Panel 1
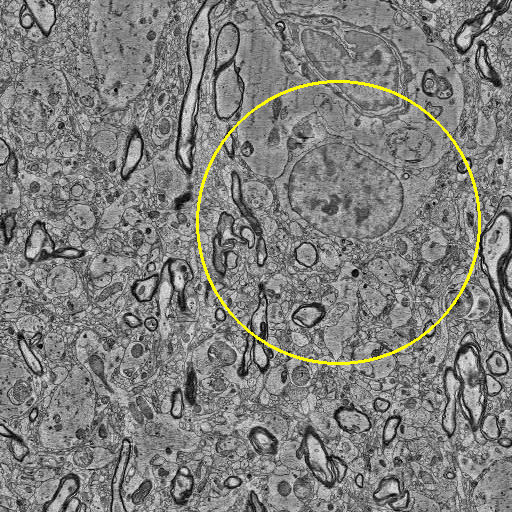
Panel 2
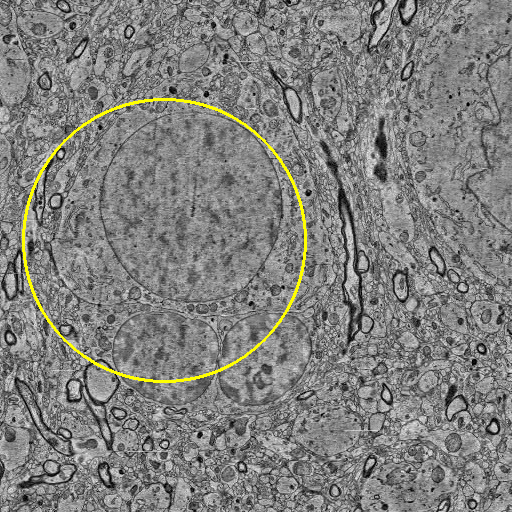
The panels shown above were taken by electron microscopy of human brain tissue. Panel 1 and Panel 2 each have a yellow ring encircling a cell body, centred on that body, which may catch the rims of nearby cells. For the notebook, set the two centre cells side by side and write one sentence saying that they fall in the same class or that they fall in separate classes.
The centred cells of Panel 1 and Panel 2 fall in separate classes.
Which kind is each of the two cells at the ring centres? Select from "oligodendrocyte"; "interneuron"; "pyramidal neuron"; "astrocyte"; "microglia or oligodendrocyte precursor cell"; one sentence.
The cell at the centre of the ring is an oligodendrocyte in the first picture and an interneuron in the second.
